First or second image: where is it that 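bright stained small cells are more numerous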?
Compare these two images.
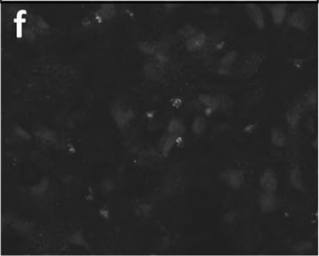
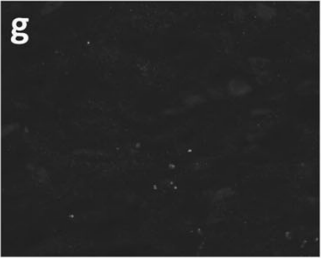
The first image.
